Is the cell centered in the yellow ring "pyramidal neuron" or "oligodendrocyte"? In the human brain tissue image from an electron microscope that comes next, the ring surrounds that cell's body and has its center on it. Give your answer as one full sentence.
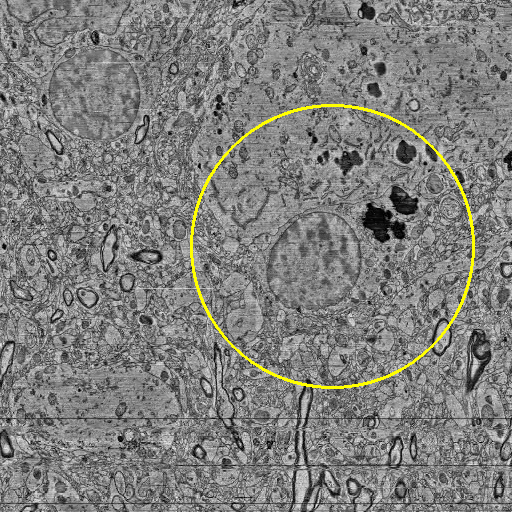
The cell at the center of the yellow ring is an oligodendrocyte in the micrograph.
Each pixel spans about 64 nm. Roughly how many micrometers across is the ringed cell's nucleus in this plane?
Roughly 7 by 6 micrometres is the size of the nucleus in this plane.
